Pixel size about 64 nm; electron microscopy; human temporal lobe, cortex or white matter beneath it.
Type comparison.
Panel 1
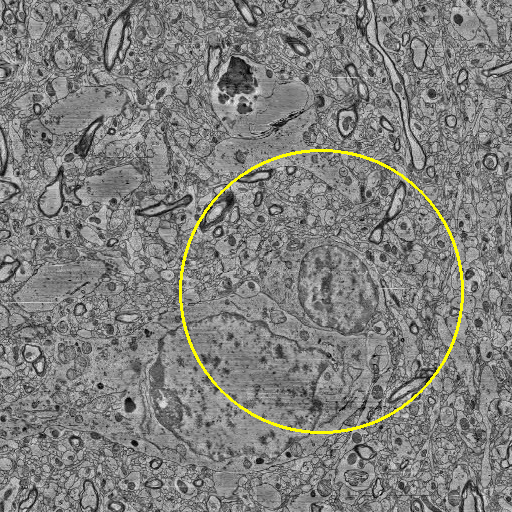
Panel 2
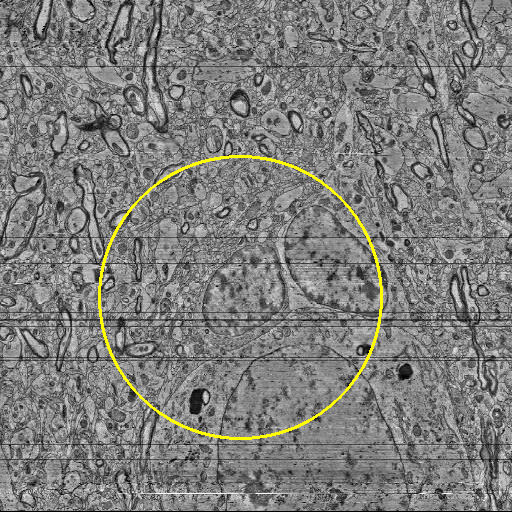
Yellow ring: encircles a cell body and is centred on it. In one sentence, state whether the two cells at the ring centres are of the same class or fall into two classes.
In these panels, the two cells at the ring centres are of the same class.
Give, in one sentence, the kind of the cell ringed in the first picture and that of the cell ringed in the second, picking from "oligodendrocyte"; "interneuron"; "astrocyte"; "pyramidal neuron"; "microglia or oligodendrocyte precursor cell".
The ring centre holds an oligodendrocyte in each of the two pictures.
